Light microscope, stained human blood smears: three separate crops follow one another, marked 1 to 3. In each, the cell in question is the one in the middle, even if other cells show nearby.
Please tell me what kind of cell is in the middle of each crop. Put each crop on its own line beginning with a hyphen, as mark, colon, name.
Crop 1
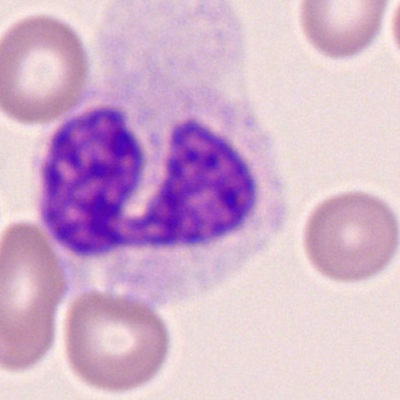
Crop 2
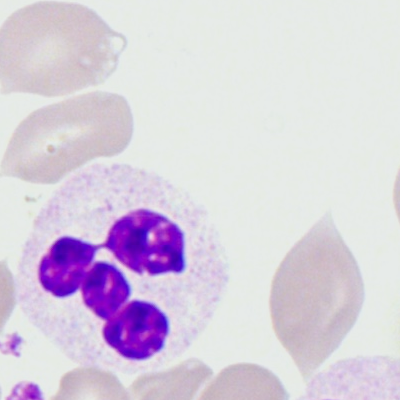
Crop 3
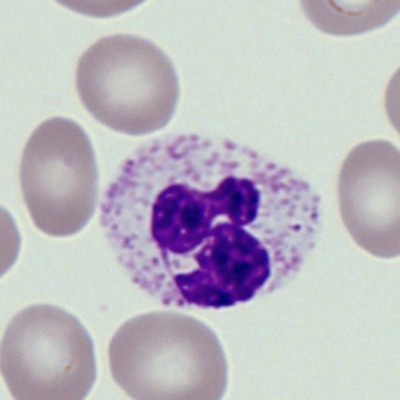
- 1: monocyte
- 2: segmented neutrophil
- 3: segmented neutrophil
